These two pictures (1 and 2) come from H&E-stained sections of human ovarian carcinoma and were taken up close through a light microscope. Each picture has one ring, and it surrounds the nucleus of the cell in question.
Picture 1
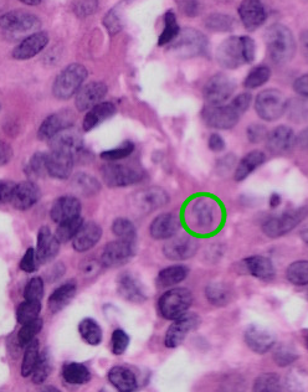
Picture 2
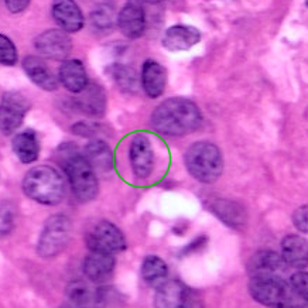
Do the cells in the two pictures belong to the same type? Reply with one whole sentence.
No, the types are not the same, since picture 1 shows an endothelial cell and picture 2 a “macrophage or monocyte”.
